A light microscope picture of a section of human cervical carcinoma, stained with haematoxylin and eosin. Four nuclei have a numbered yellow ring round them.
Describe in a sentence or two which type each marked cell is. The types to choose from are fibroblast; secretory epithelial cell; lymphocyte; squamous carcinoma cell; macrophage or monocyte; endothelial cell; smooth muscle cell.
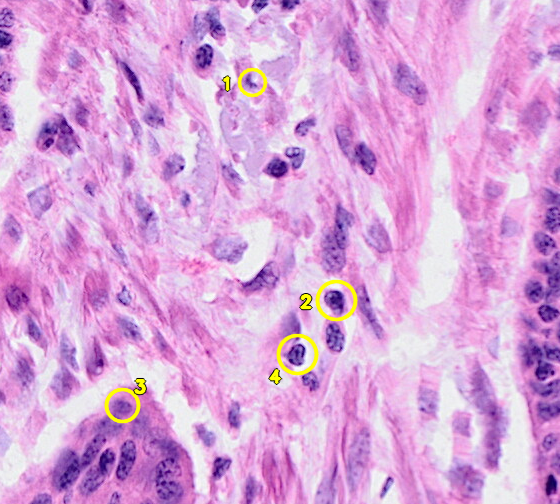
Cell 1 is a fibroblast, cell 2 is a lymphocyte, cell 3 is a squamous carcinoma cell and cell 4 is a lymphocyte.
